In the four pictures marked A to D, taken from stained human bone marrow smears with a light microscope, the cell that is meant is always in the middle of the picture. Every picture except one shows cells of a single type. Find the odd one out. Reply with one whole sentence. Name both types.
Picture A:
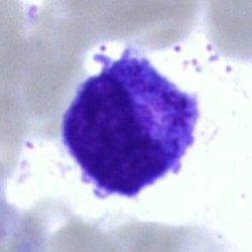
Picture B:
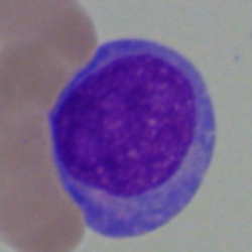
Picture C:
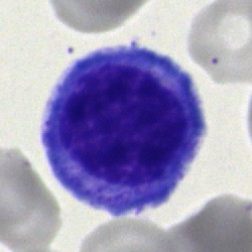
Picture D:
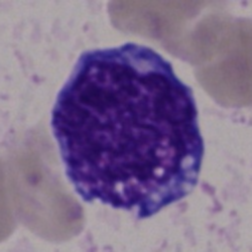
All pictures except B show promyelocytes; picture B shows a blast.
